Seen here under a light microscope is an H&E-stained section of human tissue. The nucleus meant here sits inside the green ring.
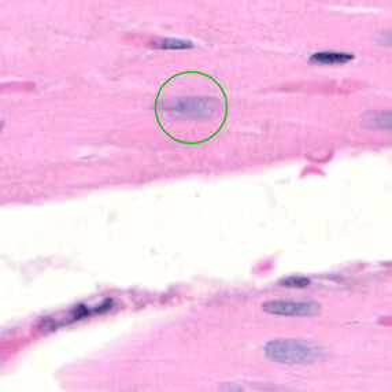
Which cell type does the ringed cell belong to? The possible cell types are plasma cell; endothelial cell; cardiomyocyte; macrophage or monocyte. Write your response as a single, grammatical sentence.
In the tissue at hand, the ringed cell is a cardiomyocyte.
